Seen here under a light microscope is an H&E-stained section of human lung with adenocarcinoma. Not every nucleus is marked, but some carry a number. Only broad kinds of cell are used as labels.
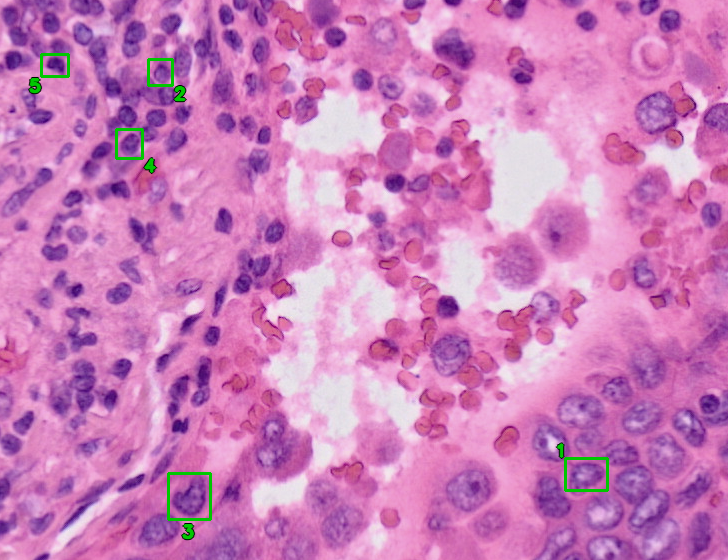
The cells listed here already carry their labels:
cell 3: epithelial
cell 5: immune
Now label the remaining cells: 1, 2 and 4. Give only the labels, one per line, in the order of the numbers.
epithelial
immune
immune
